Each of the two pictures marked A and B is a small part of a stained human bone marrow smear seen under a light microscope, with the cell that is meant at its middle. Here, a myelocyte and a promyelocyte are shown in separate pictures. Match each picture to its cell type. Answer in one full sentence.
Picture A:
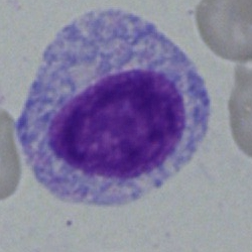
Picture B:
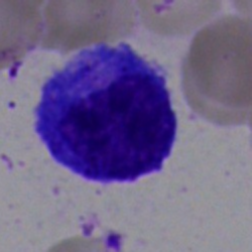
Picture B shows a promyelocyte, while picture A shows a myelocyte.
